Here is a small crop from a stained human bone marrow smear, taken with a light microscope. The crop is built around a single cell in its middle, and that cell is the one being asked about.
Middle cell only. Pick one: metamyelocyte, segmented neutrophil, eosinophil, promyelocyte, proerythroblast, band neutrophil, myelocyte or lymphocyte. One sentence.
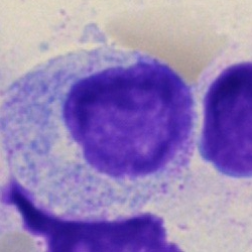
The cell featured at the centre of this crop is a myelocyte.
